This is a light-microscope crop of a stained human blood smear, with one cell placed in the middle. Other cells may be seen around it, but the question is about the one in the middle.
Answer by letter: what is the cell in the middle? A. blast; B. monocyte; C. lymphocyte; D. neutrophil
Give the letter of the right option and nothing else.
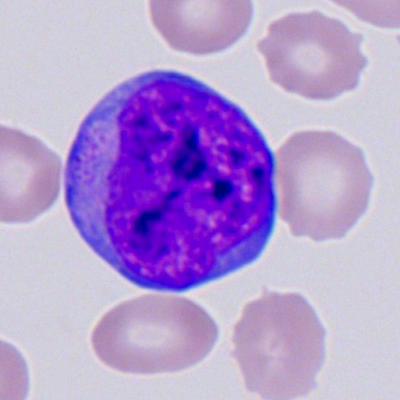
A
